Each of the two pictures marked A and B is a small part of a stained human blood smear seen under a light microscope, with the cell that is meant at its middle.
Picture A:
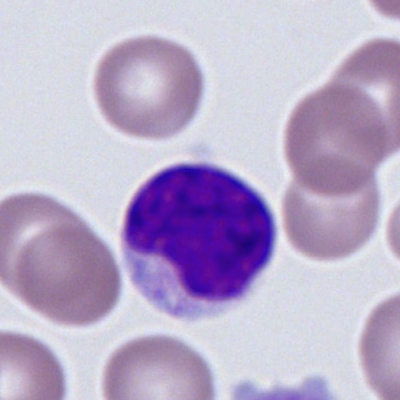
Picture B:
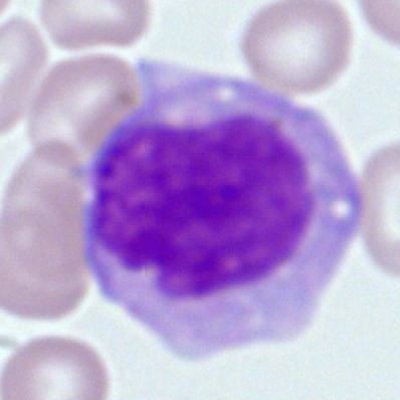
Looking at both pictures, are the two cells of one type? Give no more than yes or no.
no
